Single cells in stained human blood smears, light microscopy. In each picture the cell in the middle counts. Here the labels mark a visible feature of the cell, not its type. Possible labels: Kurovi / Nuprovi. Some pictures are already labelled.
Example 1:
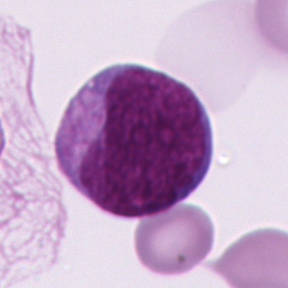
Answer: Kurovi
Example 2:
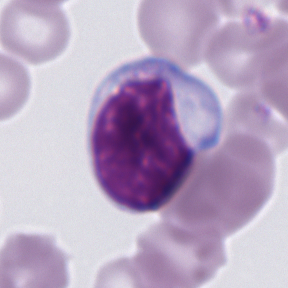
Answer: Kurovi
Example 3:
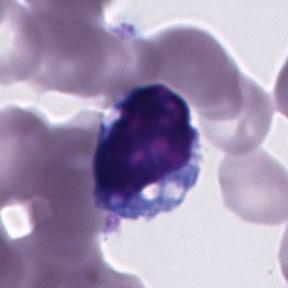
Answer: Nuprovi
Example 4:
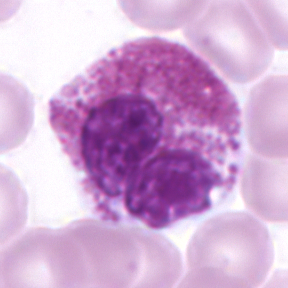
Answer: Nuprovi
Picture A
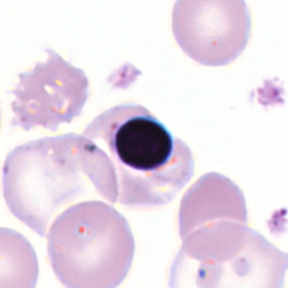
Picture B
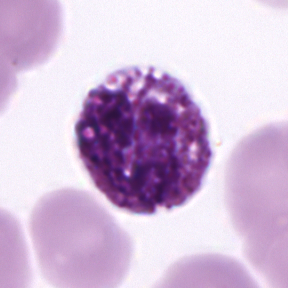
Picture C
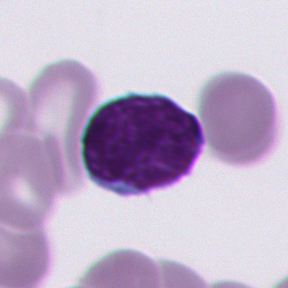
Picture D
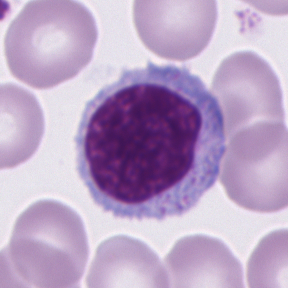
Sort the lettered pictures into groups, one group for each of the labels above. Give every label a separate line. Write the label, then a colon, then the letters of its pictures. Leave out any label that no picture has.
Kurovi: A, B, C
Nuprovi: D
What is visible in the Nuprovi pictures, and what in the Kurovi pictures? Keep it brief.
Nuprovi, ragged outline or projections; Kurovi, smooth outline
